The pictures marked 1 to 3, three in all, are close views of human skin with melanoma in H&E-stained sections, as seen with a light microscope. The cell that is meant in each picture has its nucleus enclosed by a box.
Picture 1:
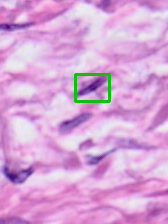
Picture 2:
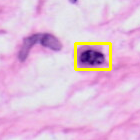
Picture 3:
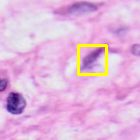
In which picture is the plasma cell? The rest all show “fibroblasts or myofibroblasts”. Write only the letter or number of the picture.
2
